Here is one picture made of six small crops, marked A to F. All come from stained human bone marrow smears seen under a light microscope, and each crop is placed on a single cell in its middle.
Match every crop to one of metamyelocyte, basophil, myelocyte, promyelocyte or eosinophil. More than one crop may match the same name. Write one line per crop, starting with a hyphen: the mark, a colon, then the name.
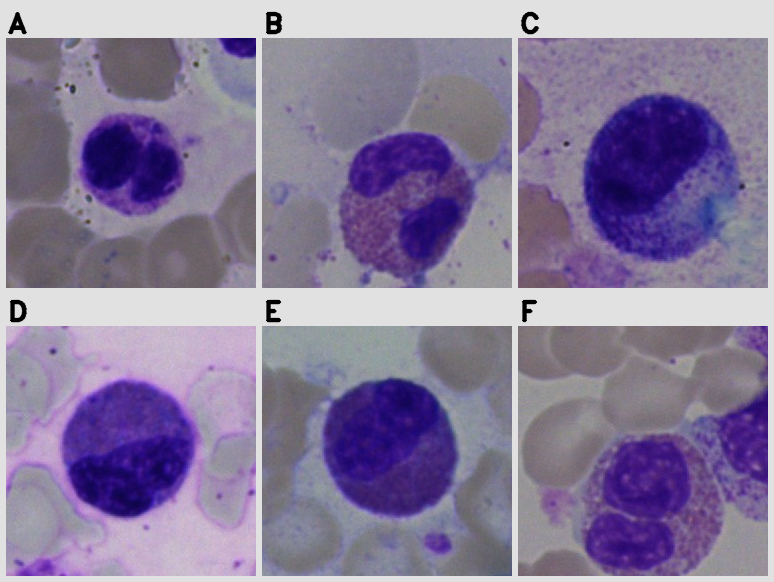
- A: basophil
- B: eosinophil
- C: myelocyte
- D: eosinophil
- E: eosinophil
- F: eosinophil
